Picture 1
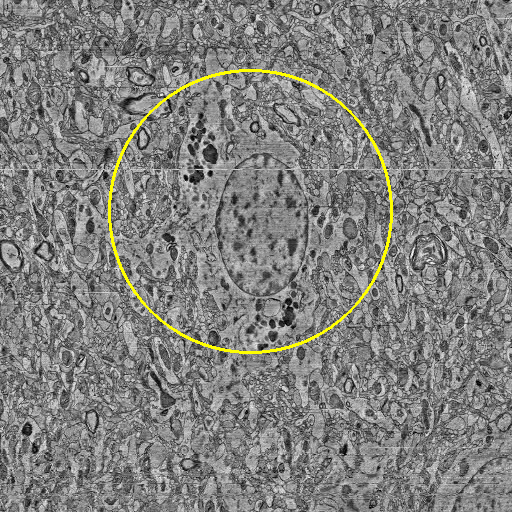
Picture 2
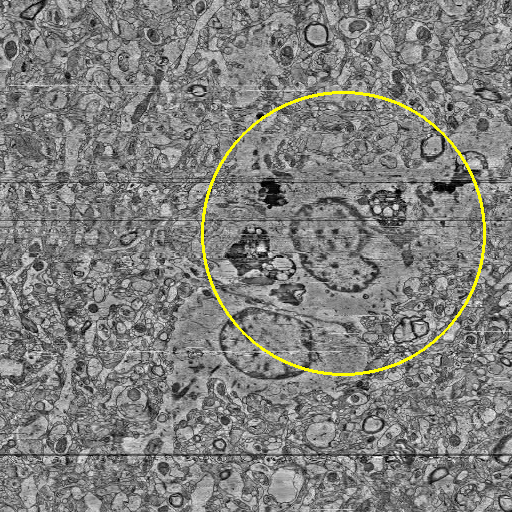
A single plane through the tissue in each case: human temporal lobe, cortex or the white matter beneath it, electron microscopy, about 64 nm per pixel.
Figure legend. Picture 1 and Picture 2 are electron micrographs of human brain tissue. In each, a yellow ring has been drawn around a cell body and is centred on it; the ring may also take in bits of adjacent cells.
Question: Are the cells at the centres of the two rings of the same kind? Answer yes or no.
yes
